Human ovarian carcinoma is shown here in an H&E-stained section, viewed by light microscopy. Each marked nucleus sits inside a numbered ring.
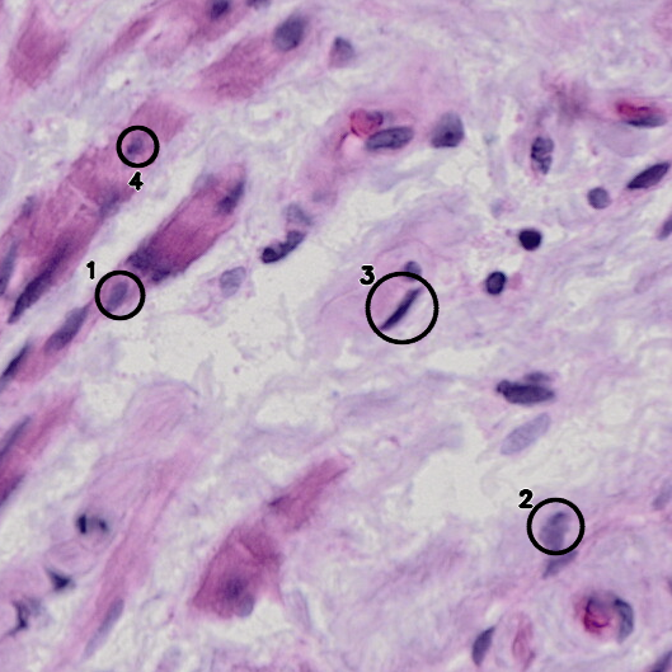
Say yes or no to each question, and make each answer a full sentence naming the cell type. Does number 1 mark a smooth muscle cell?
Yes, the cell bearing the number 1 is a smooth muscle cell.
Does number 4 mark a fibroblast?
No, number 4 is assigned to a smooth muscle cell, not to a fibroblast.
